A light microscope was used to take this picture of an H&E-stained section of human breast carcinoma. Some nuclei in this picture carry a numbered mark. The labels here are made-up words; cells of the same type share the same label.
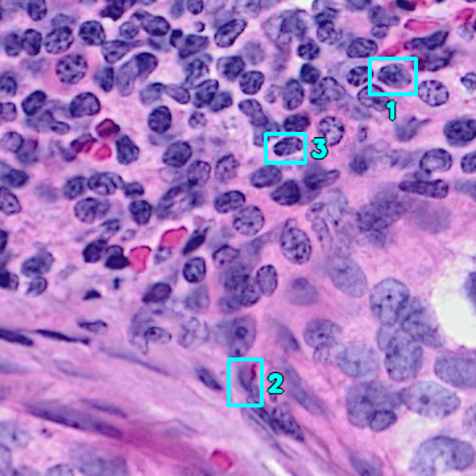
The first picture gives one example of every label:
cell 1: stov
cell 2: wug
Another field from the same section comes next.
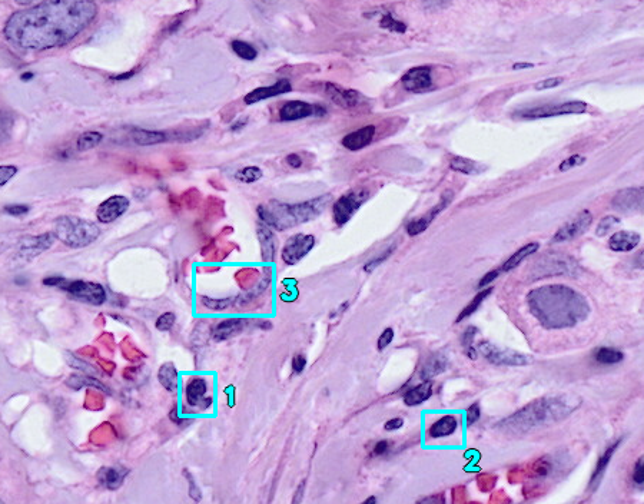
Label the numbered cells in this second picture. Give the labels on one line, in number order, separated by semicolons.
stov; stov; wug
